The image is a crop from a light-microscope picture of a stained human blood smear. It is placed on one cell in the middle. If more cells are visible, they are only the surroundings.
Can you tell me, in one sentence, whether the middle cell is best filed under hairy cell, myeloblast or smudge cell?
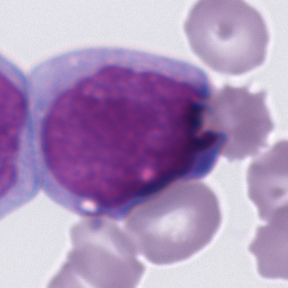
The cell shown in the center of this light-microscope crop is a myeloblast.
